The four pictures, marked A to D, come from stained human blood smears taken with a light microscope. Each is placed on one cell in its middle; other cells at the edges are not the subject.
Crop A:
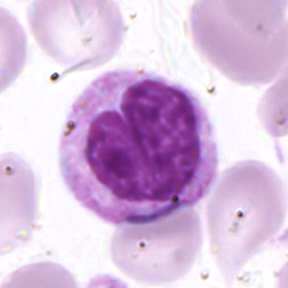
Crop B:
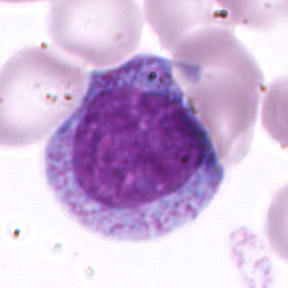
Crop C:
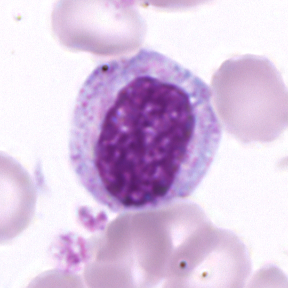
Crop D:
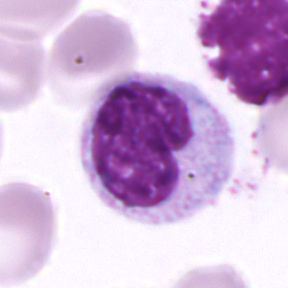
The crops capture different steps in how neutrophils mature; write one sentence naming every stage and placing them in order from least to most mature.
The right order here, from least to most mature, is crop B (a promyelocyte), crop C (a myelocyte), crop D (a metamyelocyte) and crop A (a band neutrophil).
